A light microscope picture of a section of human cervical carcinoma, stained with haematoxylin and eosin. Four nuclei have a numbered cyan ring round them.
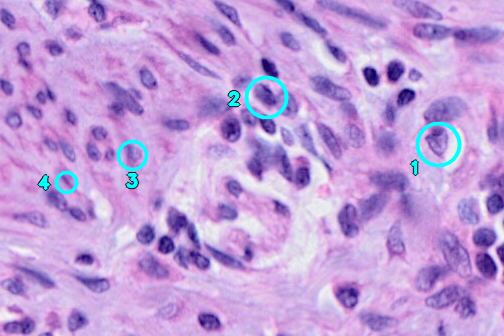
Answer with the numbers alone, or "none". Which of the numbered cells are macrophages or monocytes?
1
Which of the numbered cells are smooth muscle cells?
3, 4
